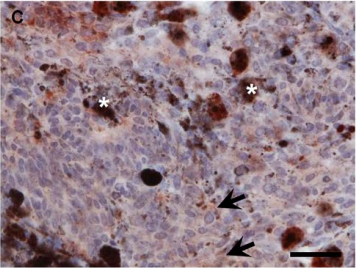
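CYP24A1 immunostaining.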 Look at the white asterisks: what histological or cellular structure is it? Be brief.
melanin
